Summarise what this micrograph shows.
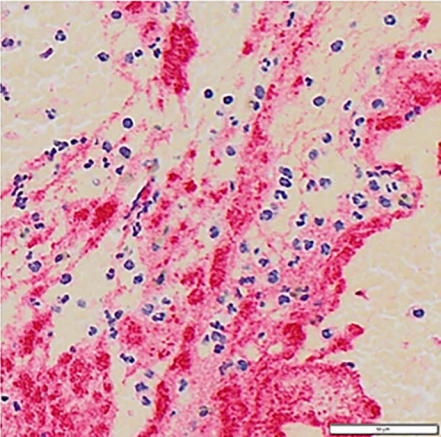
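Many nucleated cells lie in a pale background, scattered among streaks and clumps of red-stained material. The red material forms branching, streaming bands and irregular dense clumps running roughly diagonally across the field, with finer red threads between them. The background between the strands is pale yellow-beige with faint outlines of unstained, anucleate cells, likely red blood cells. The red staining is mostly outside the nucleated cells, in the strands and clumps.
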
